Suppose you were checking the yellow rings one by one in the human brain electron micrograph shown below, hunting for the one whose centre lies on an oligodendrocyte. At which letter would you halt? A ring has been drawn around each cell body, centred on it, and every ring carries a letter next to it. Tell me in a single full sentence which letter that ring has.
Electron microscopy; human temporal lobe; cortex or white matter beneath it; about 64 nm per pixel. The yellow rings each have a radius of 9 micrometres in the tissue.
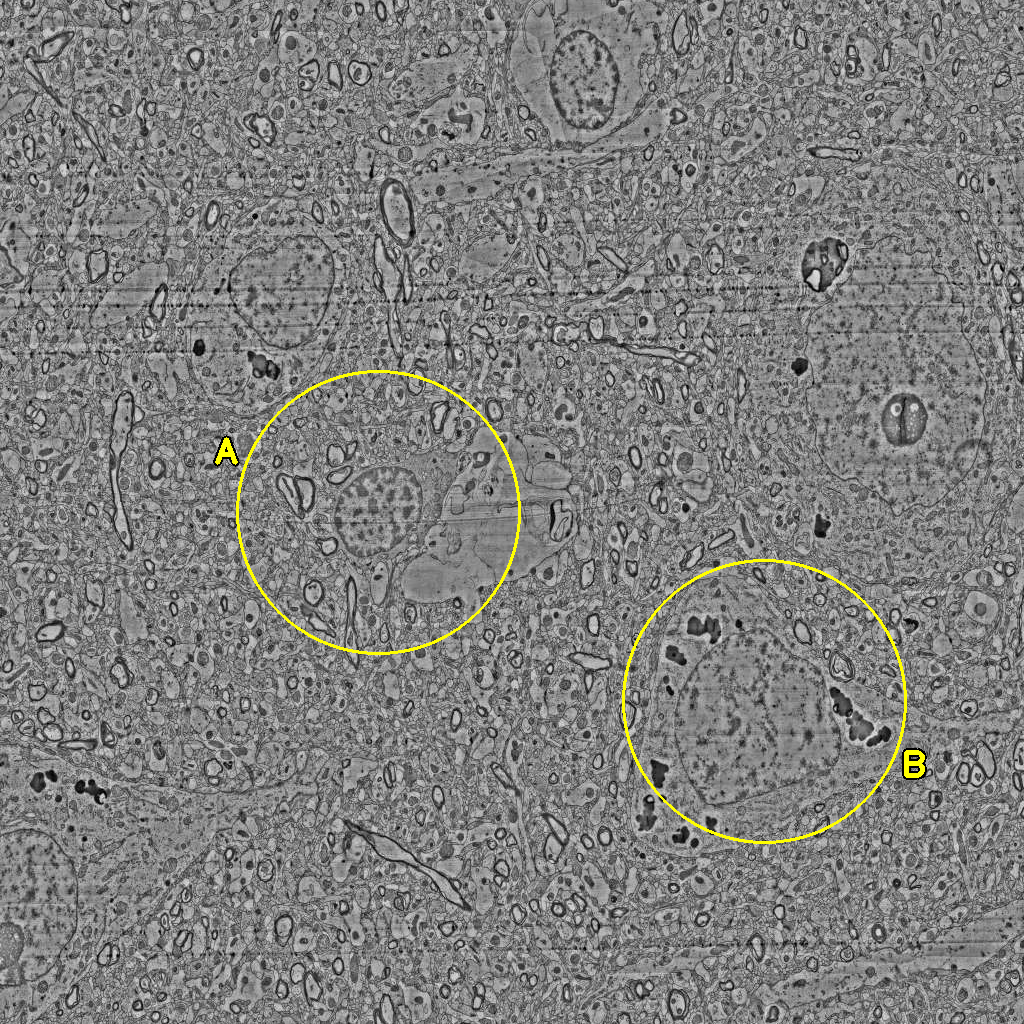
Going through the rings, I would stop at ring A, the one centred on the cell asked for.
